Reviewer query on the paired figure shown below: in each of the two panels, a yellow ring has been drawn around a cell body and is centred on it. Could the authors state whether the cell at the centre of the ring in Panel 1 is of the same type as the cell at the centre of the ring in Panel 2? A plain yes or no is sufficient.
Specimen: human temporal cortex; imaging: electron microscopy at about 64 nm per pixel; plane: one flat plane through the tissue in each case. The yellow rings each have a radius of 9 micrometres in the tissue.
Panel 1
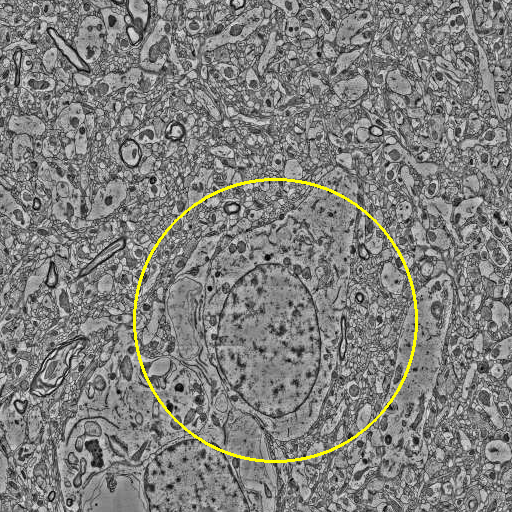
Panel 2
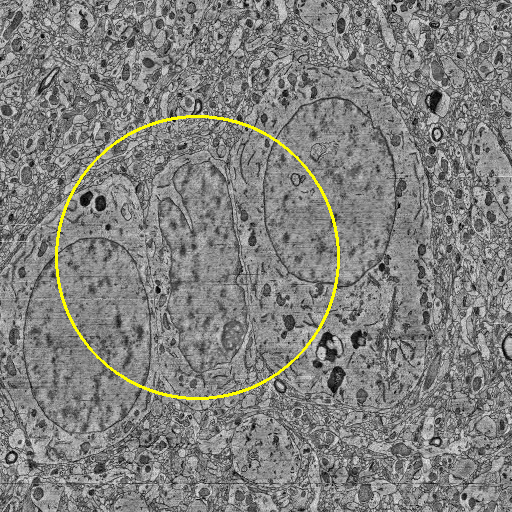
no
